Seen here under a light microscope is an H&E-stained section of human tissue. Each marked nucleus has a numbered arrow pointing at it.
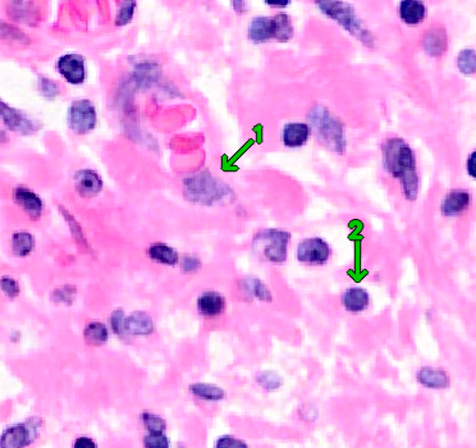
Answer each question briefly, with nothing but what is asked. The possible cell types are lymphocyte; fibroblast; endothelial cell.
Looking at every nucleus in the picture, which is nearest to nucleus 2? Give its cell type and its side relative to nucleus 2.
a lymphocyte; above and to the left of nucleus 2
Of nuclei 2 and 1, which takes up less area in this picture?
2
